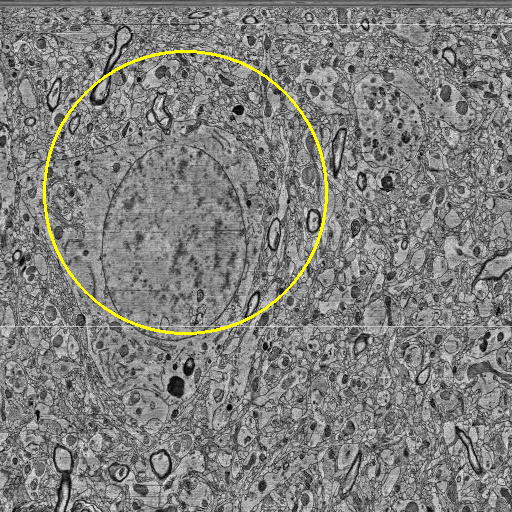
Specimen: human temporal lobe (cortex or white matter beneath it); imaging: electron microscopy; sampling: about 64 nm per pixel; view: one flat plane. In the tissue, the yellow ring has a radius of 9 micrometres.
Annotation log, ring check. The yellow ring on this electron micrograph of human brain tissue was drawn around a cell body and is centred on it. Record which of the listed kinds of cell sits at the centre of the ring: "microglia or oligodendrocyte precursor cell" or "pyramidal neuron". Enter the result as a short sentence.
The cell at the centre of the ring is a pyramidal neuron.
